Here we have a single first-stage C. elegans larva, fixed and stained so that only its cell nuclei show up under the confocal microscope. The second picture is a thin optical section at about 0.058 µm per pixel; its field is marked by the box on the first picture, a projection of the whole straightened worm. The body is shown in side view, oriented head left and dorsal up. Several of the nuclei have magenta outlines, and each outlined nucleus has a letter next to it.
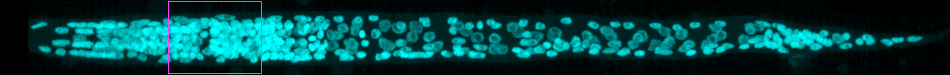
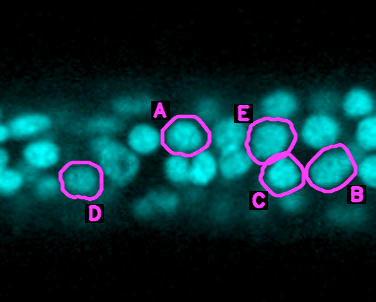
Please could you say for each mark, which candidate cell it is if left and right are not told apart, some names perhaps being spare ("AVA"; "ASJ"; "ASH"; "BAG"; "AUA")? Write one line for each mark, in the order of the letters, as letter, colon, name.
A: AVA
B: ASJ
C: AUA
D: BAG
E: ASH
